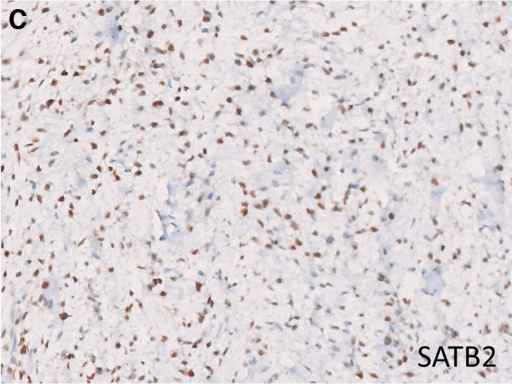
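This shows tumor cells that are small, oval to short spindle-shaped, scattered rather evenly through a pale, loose background stroma. Many of their nuclei are stained brown, while others remain pale blue, so the field has a speckled look. The nuclei are fairly uniform in size, with little visible cytoplasm around them. The cells are not arranged in tight fascicles here but lie loosely spaced in the light stroma. The brown staining is confined to the nuclei, a nuclear pattern in a large share of the neoplastic cells.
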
